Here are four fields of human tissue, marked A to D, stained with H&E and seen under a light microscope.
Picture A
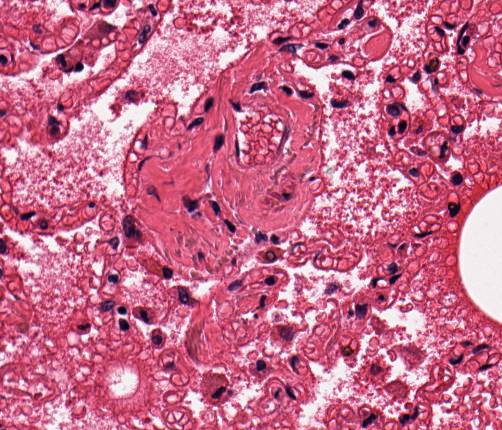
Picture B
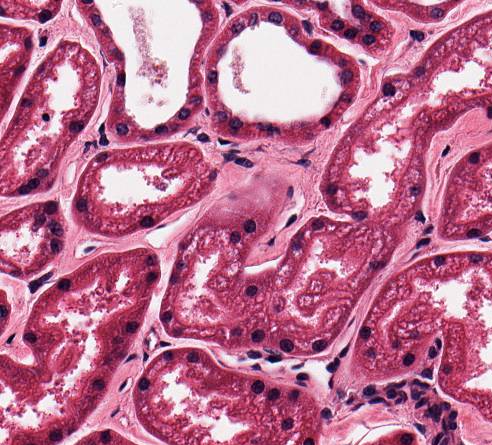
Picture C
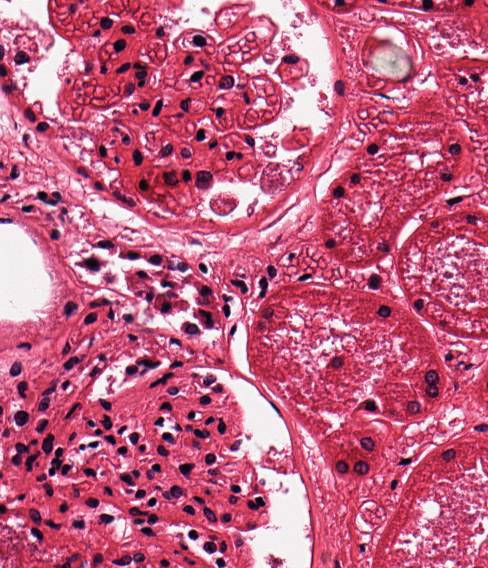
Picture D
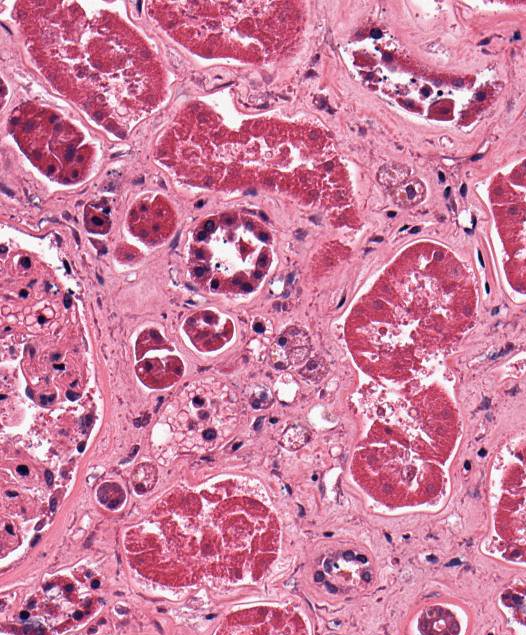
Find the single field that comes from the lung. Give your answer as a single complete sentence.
Picture A is the field that comes from the lung.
